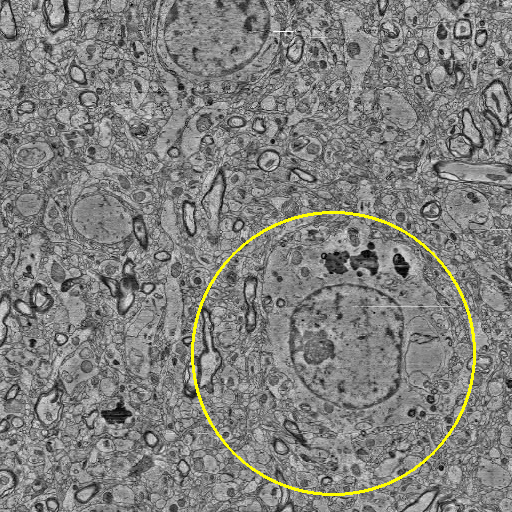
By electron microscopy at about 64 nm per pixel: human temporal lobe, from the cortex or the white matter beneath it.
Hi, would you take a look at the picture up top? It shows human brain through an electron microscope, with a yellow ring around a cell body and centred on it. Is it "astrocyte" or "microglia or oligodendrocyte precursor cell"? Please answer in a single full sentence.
The best fit for the cell in the middle of the ring is an astrocyte, I reckon.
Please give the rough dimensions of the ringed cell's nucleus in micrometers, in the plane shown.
Approximately 8 micrometres across, in this plane.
